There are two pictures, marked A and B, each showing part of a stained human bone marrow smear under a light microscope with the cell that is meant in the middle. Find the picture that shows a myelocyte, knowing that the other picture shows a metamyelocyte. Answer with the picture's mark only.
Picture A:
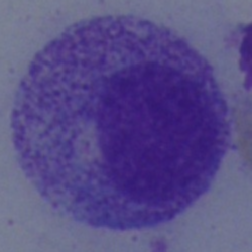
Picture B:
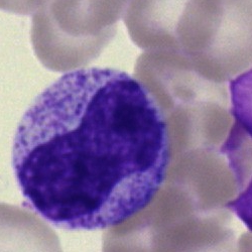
A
